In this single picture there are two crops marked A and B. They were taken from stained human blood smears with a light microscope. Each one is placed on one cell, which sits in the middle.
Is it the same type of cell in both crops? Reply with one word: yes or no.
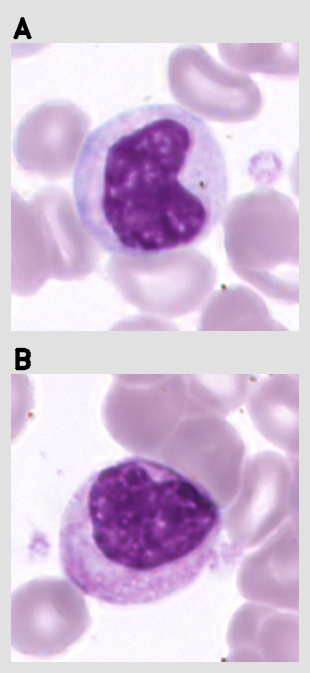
yes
